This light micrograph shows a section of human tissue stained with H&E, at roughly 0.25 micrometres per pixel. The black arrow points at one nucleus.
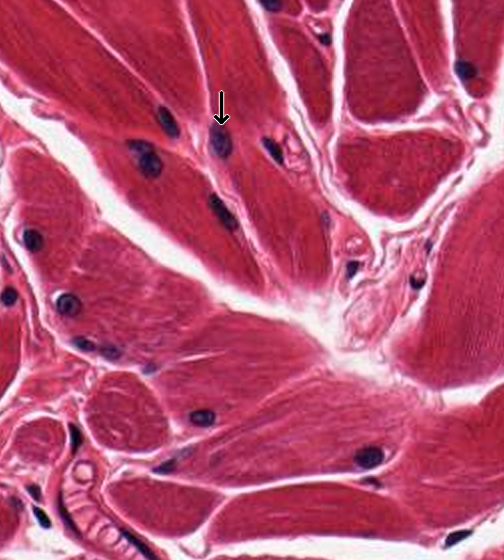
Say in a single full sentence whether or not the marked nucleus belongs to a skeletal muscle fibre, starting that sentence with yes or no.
Yes, it is a skeletal muscle fibre that holds the marked nucleus.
